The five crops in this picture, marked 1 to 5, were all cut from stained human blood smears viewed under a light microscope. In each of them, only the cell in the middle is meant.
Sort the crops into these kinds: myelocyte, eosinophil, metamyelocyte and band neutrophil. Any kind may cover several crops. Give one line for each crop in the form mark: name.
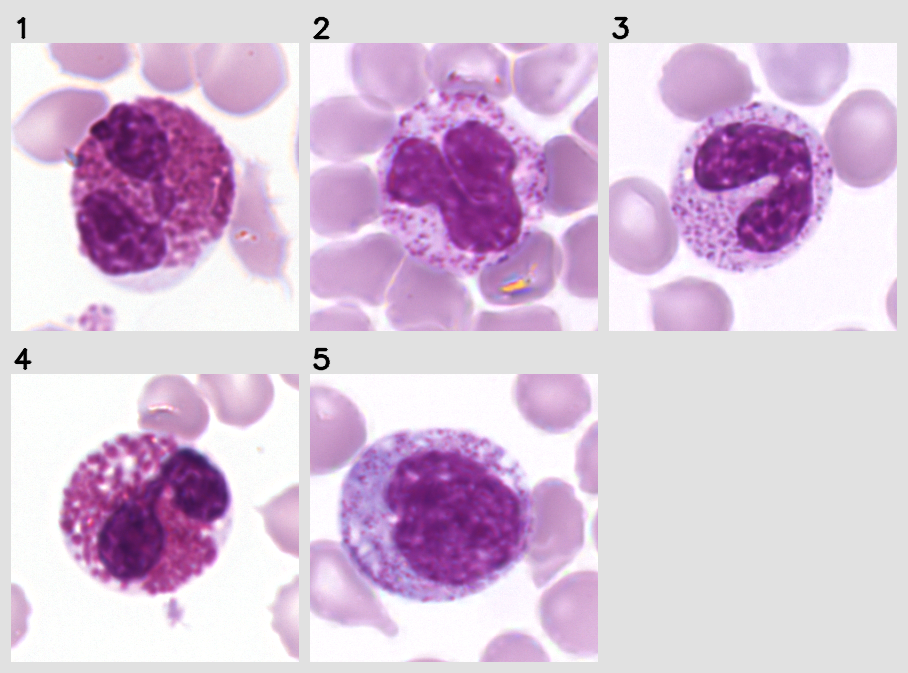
1: eosinophil
2: band neutrophil
3: band neutrophil
4: eosinophil
5: myelocyte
